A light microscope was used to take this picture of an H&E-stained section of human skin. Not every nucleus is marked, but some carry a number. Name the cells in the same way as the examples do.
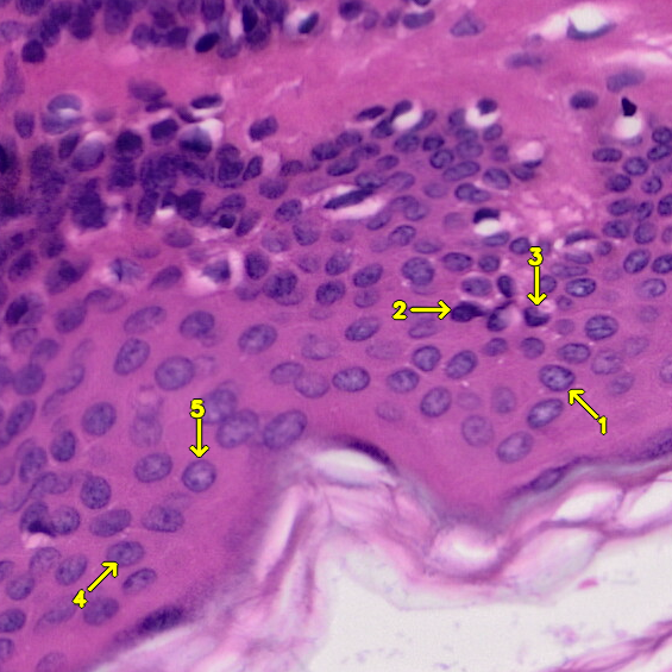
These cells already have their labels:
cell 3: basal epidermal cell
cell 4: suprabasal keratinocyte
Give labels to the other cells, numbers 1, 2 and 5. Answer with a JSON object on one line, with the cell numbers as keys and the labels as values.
{"1": "suprabasal keratinocyte", "2": "basal epidermal cell", "5": "suprabasal keratinocyte"}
